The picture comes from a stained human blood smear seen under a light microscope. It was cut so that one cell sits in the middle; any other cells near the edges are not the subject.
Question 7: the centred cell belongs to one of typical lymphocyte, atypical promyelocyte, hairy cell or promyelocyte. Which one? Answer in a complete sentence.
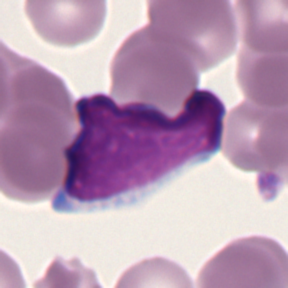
Looking at the middle of the crop, the cell there is a typical lymphocyte.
